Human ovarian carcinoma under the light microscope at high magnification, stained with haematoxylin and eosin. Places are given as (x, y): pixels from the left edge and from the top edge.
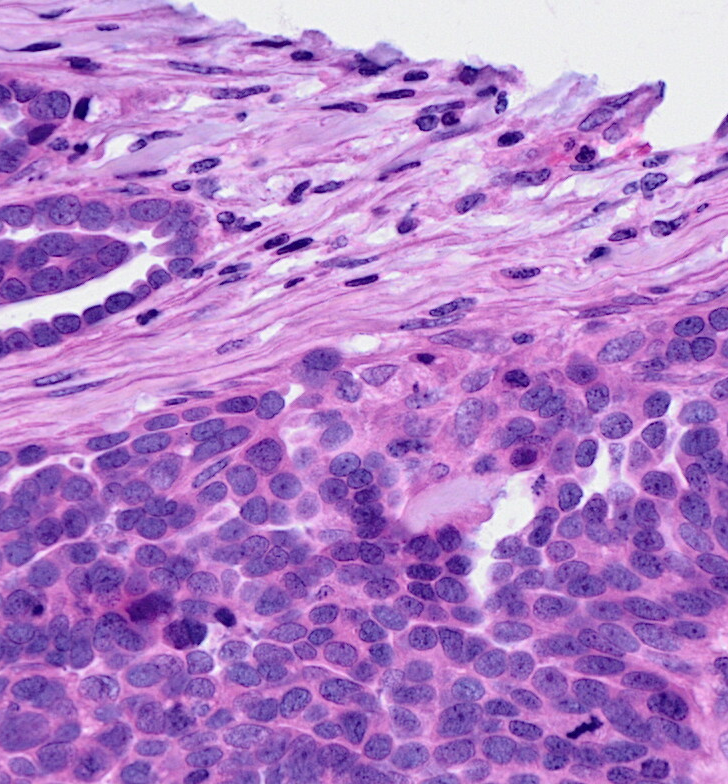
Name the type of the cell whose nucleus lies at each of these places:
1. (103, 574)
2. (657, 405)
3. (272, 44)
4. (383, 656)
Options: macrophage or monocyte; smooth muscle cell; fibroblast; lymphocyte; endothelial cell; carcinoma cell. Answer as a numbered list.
1. carcinoma cell
2. carcinoma cell
3. fibroblast
4. carcinoma cell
